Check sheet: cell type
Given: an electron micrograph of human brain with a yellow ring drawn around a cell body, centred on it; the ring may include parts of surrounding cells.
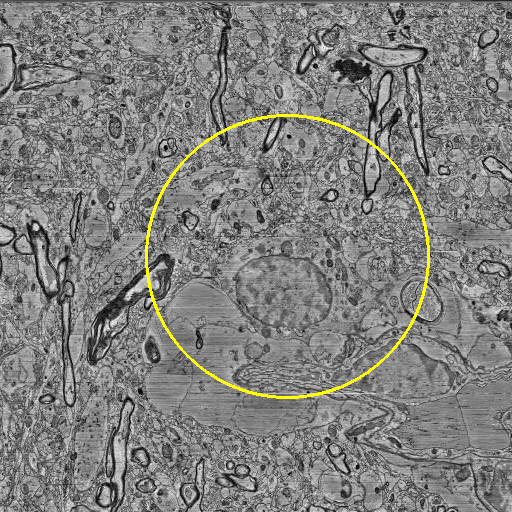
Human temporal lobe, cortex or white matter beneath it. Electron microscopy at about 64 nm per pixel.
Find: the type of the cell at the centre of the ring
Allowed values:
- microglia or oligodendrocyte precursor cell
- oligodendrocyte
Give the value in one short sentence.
Here the ringed cell is an oligodendrocyte.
